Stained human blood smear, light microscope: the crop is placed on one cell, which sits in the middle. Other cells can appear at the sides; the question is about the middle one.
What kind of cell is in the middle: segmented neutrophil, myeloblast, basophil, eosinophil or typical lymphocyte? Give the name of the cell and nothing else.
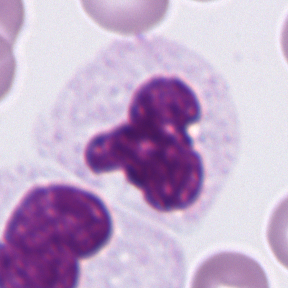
segmented neutrophil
